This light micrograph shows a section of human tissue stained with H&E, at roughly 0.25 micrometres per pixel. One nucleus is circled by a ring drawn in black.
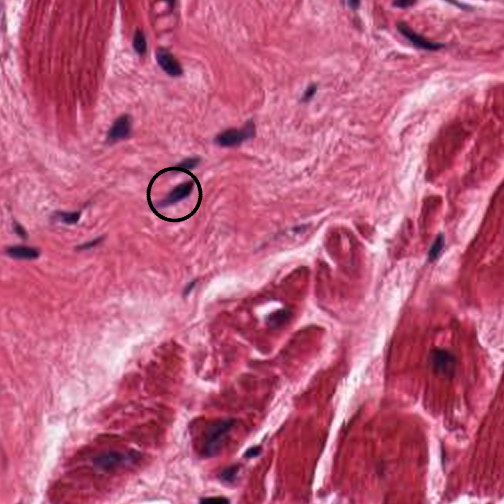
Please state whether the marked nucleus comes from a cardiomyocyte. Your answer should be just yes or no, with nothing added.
no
